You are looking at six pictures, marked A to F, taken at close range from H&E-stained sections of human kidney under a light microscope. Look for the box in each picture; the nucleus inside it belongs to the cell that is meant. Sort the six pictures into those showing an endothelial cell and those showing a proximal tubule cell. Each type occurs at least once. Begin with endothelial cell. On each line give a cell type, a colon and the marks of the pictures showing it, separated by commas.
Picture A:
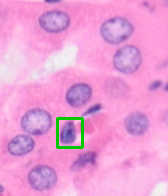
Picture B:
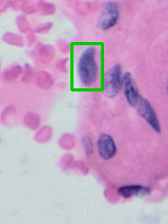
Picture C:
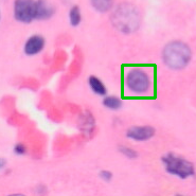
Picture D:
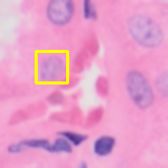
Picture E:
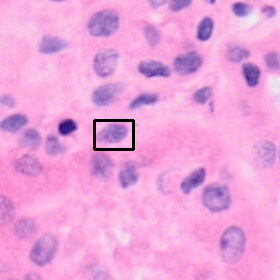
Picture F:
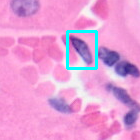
endothelial cell: A, B, E, F
proximal tubule cell: C, D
